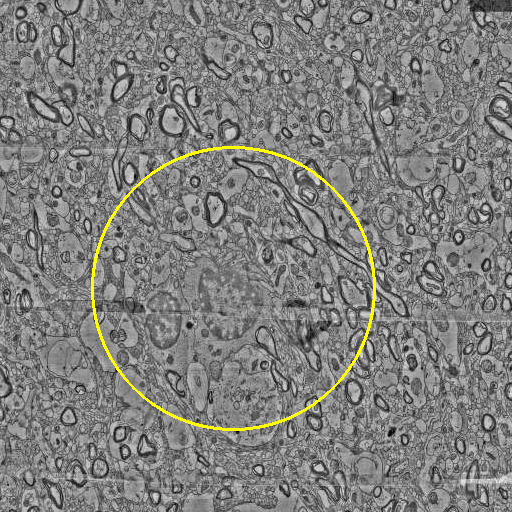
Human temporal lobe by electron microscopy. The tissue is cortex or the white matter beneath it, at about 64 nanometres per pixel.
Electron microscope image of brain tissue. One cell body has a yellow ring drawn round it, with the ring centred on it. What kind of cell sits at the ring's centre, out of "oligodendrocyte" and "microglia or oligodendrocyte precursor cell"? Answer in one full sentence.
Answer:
It is an oligodendrocyte whose cell body sits at the centre of the yellow ring.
